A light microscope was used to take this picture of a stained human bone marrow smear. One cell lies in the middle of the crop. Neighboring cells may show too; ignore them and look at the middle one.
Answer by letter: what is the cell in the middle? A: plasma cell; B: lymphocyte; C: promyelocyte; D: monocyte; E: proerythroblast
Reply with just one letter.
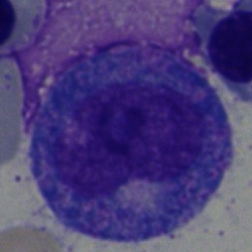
C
